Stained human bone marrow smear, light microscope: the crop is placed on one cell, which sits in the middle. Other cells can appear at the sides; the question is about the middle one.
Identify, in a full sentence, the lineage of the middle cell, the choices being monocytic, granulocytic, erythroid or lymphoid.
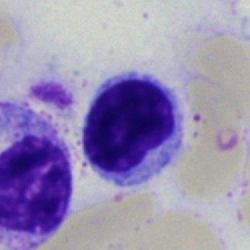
The lineage represented by the cell in the middle is lymphoid.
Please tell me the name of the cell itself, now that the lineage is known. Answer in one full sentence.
The cell at the central position in this crop is a lymphocyte.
